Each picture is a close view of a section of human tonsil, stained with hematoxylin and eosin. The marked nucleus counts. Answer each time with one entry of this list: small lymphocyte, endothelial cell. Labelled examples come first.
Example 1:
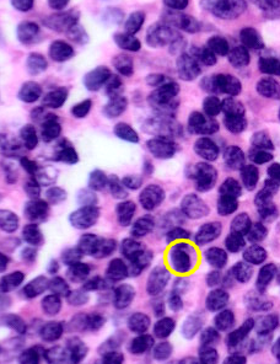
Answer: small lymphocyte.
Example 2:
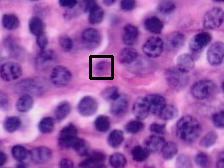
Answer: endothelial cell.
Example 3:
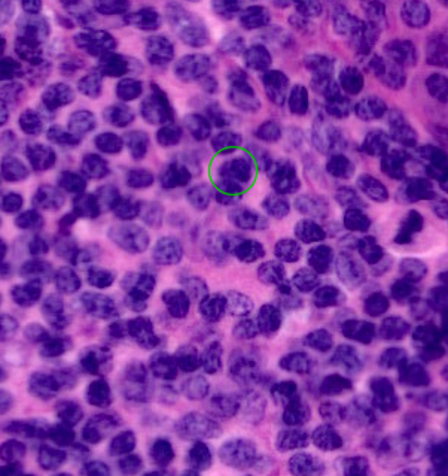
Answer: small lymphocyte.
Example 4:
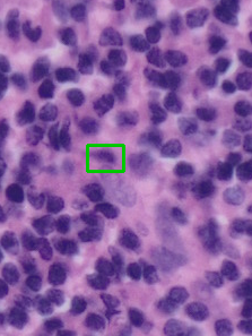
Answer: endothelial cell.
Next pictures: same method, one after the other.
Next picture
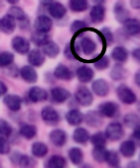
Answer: small lymphocyte.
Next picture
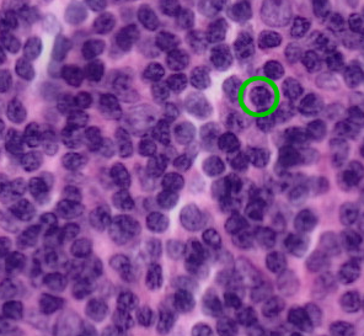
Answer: small lymphocyte.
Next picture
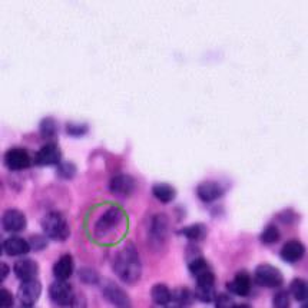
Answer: endothelial cell.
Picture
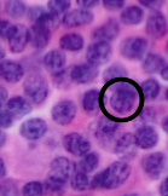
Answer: small lymphocyte.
